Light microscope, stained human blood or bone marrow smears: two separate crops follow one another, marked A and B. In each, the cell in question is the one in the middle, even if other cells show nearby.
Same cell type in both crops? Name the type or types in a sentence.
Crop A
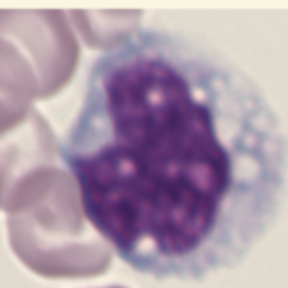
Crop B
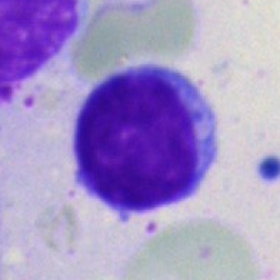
No, in crop A there is a monocyte, and in crop B there is a lymphocyte.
